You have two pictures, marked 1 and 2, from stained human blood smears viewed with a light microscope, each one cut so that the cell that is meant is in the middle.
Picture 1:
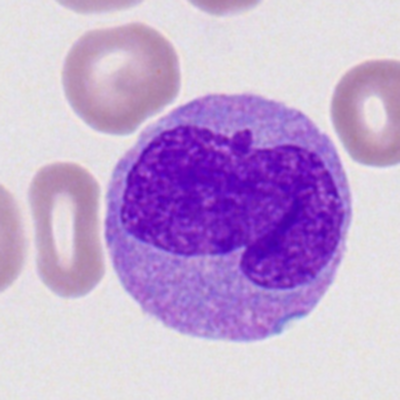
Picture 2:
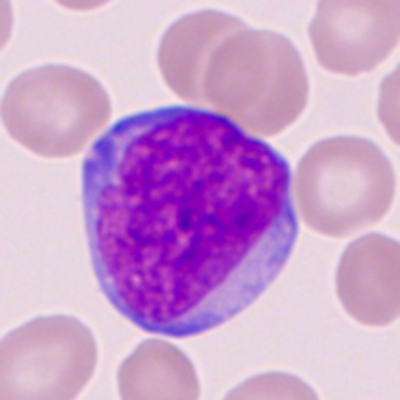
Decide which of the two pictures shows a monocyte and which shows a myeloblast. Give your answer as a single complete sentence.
Picture 1 is of a monocyte, and picture 2 is of a myeloblast.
